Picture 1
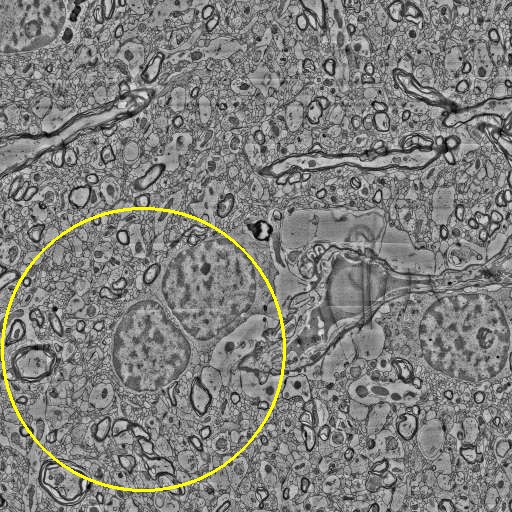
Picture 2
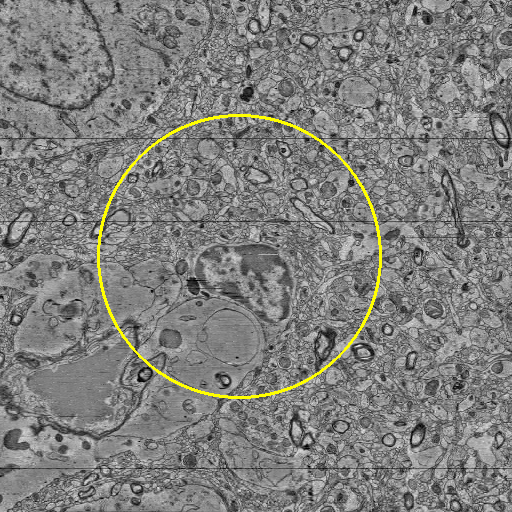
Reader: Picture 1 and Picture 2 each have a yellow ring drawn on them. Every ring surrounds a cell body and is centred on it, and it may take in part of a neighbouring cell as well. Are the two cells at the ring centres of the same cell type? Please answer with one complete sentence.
No, the cells are of two cell types.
